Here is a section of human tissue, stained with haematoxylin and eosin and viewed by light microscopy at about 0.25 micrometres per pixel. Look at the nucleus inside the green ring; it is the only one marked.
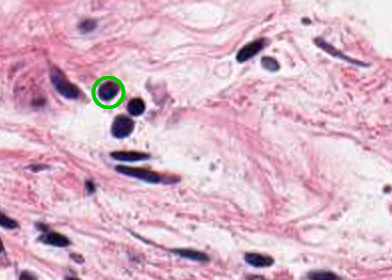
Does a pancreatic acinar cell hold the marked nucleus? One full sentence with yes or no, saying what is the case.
No, the marked nucleus is part of a supporting cell and does not belong to a pancreatic acinar cell.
